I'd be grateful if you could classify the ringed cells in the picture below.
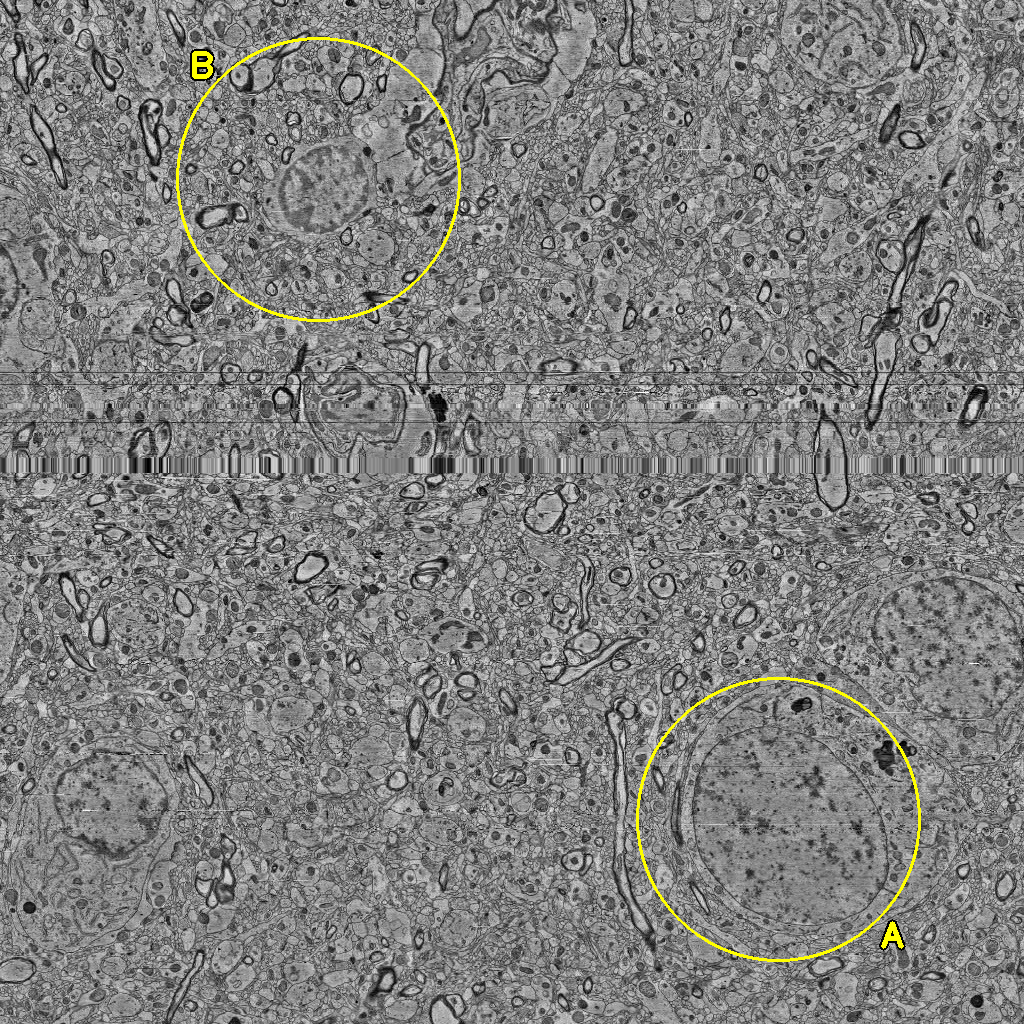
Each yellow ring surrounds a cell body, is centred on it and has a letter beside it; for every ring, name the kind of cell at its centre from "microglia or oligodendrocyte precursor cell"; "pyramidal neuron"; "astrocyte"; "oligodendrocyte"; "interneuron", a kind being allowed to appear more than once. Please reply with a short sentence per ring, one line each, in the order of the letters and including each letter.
In ring A we have a pyramidal neuron.
In ring B we have an oligodendrocyte.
